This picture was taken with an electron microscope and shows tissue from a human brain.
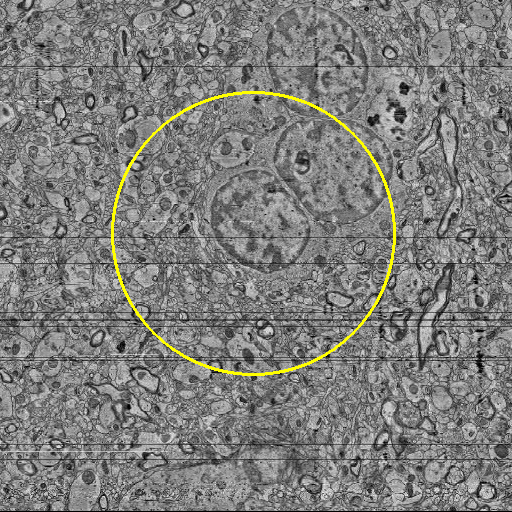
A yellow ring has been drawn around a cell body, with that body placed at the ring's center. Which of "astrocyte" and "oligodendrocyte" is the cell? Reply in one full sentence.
In this picture, an oligodendrocyte is the cell at the center of the yellow ring.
